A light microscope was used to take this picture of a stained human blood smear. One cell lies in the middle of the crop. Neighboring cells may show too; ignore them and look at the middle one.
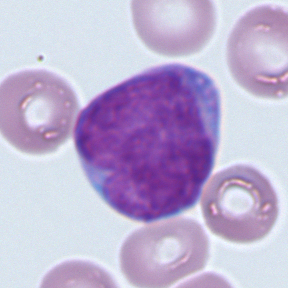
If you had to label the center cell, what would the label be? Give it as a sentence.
Of the cells in this crop, the central one is an atypical promyelocyte.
